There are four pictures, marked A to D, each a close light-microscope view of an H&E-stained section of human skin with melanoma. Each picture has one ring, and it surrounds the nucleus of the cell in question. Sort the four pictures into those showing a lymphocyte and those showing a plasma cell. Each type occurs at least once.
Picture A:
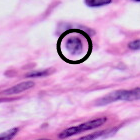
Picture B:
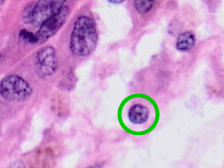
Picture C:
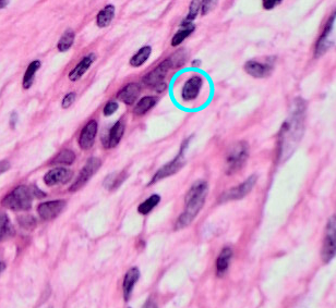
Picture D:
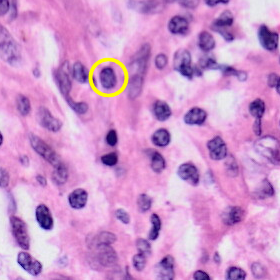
A: plasma cell
B: lymphocyte
C: lymphocyte
D: lymphocyte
